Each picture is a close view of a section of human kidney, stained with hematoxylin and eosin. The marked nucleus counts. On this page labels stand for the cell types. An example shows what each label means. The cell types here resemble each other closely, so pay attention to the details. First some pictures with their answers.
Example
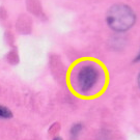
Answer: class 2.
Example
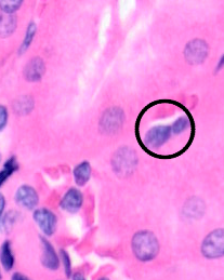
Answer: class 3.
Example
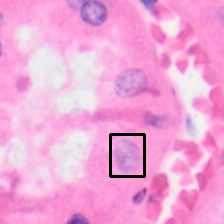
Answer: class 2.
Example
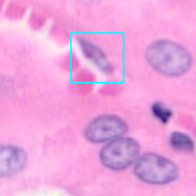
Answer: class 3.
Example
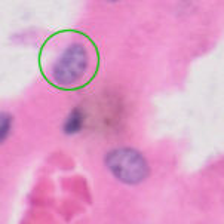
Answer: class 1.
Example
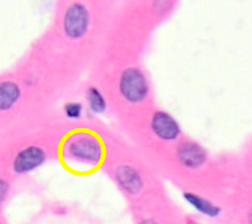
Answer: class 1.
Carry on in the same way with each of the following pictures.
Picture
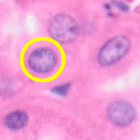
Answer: class 2.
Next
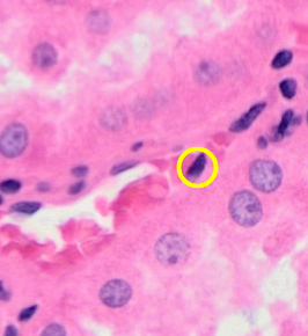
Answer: class 3.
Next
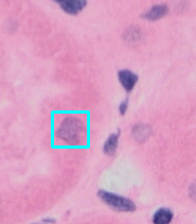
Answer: class 2.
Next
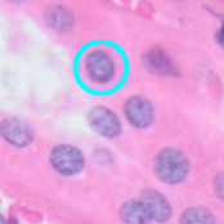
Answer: class 1.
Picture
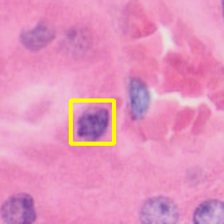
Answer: class 2.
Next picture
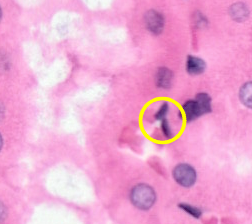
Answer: class 3.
